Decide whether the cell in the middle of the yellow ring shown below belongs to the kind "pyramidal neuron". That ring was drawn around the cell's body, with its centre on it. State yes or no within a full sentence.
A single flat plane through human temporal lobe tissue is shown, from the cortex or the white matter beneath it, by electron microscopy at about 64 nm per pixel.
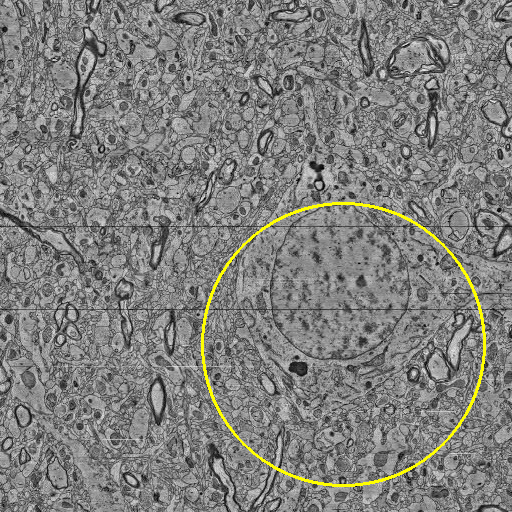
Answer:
Yes, the cell whose body lies at the ring's centre in the picture belongs to that kind.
